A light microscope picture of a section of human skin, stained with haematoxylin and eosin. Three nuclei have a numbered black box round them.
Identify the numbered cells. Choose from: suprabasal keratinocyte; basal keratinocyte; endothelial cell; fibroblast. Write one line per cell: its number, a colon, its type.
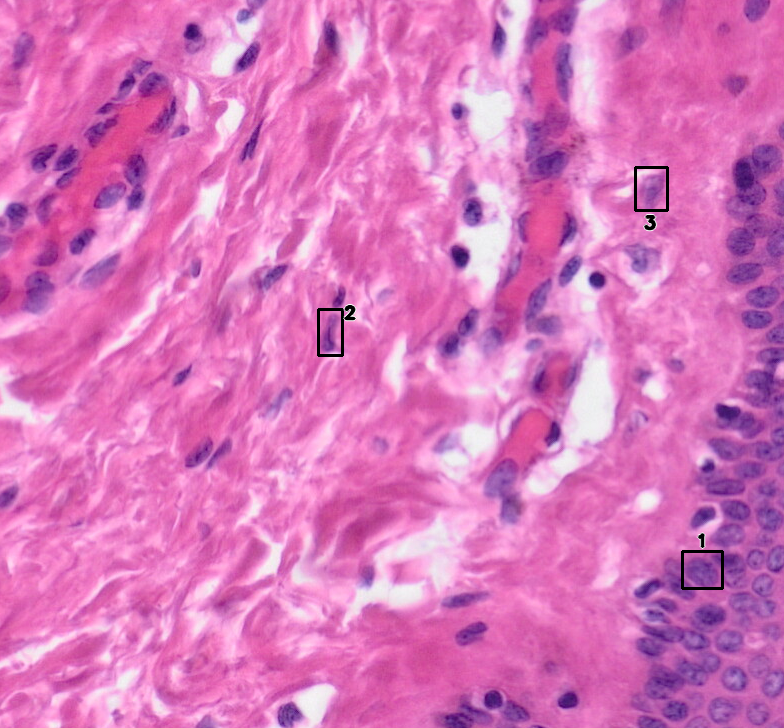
1: basal keratinocyte
2: fibroblast
3: fibroblast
